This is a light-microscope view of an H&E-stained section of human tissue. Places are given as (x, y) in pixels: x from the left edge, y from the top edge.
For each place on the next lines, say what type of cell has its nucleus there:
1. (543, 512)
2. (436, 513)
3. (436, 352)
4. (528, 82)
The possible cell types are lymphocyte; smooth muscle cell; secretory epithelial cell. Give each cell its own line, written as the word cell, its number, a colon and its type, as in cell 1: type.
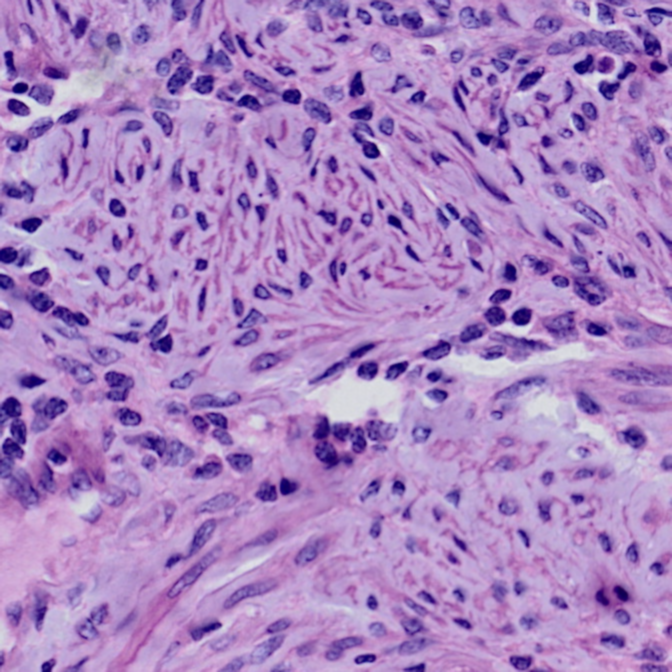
cell 1: smooth muscle cell
cell 2: smooth muscle cell
cell 3: lymphocyte
cell 4: lymphocyte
